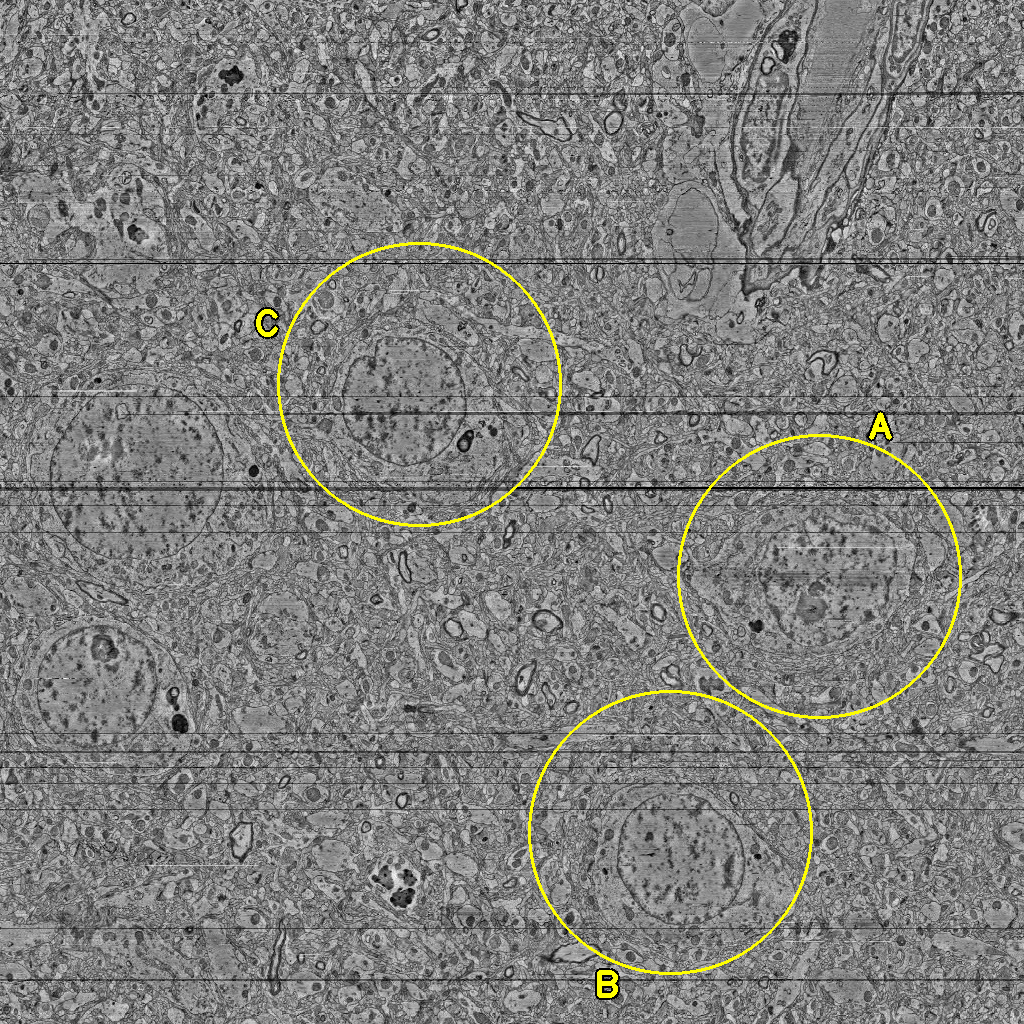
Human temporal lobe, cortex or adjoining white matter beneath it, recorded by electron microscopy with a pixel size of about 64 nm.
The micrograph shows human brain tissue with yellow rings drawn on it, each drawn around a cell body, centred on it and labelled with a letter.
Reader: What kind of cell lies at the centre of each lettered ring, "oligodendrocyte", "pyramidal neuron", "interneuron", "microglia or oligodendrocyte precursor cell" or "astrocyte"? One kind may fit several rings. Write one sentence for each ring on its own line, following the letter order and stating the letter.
At the centre of ring A lies an interneuron.
At the centre of ring B lies a pyramidal neuron.
At the centre of ring C lies a pyramidal neuron.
